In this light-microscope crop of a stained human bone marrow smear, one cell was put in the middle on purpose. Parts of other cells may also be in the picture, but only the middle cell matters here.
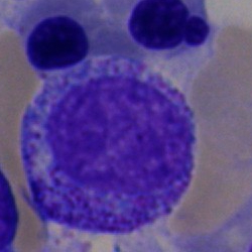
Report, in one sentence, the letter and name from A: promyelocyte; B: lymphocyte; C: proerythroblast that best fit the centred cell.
The one cell at the centre is a promyelocyte, as correctly stated in option A.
